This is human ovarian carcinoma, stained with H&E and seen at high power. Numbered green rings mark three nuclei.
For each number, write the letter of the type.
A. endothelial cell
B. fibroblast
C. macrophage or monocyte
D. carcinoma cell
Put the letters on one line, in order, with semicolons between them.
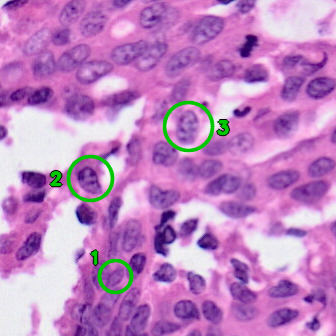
D; C; C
